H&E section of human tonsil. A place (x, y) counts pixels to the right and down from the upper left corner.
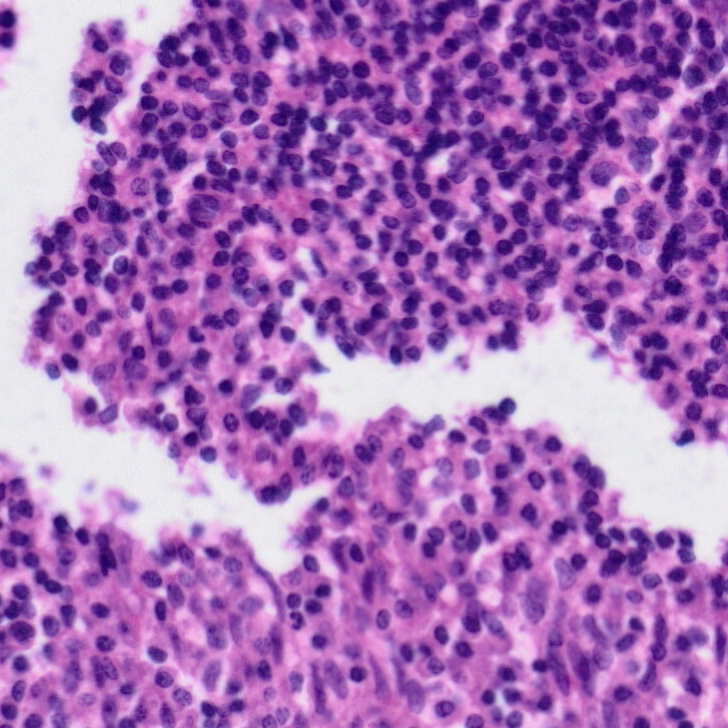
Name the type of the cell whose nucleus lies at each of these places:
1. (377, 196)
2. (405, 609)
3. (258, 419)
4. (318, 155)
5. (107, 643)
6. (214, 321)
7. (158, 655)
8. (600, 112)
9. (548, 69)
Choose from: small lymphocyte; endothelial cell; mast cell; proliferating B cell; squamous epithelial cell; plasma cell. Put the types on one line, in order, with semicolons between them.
small lymphocyte; plasma cell; plasma cell; small lymphocyte; plasma cell; plasma cell; plasma cell; small lymphocyte; small lymphocyte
